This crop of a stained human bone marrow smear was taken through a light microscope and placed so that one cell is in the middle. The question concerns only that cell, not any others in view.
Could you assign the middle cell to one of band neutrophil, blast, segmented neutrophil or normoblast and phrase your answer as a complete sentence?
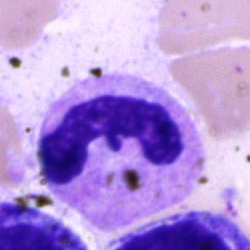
The centrally placed cell is classified as a band neutrophil.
